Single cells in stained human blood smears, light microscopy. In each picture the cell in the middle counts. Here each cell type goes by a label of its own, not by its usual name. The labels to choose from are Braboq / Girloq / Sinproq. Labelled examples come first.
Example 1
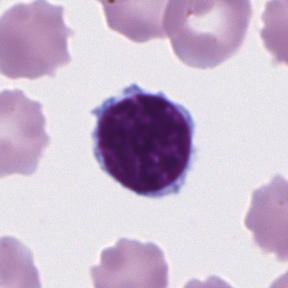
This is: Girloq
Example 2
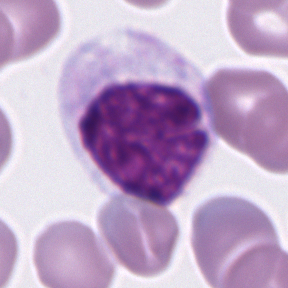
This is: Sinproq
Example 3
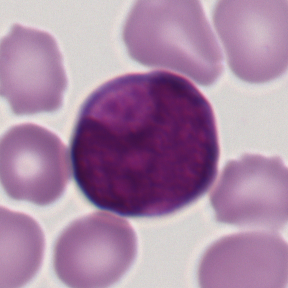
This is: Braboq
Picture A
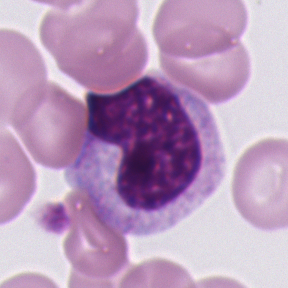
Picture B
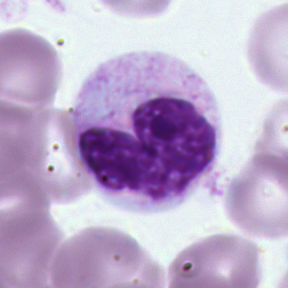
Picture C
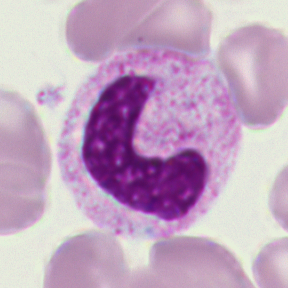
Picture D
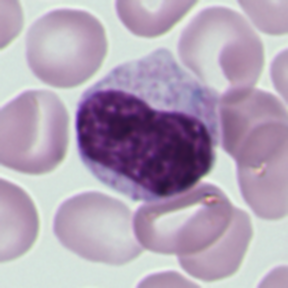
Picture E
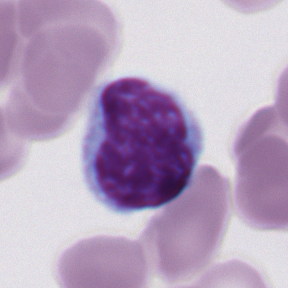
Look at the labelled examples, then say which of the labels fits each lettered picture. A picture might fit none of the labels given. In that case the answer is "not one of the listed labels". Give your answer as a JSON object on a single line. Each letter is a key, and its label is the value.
{"A": "Sinproq", "B": "Sinproq", "C": "Sinproq", "D": "Sinproq", "E": "Girloq"}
